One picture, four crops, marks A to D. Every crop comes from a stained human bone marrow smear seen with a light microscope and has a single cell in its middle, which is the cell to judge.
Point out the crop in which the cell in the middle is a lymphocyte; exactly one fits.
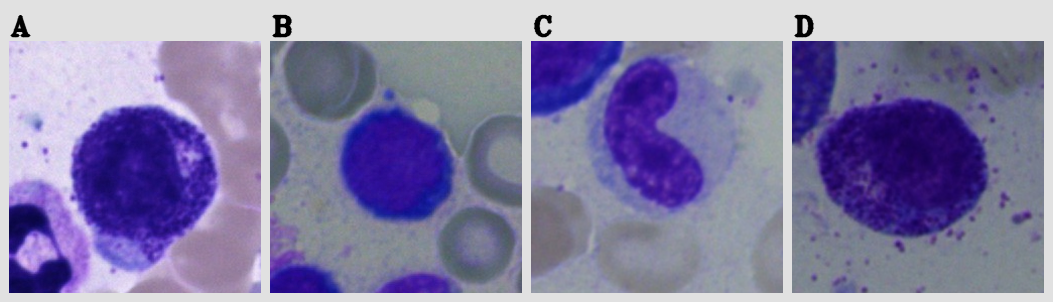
B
